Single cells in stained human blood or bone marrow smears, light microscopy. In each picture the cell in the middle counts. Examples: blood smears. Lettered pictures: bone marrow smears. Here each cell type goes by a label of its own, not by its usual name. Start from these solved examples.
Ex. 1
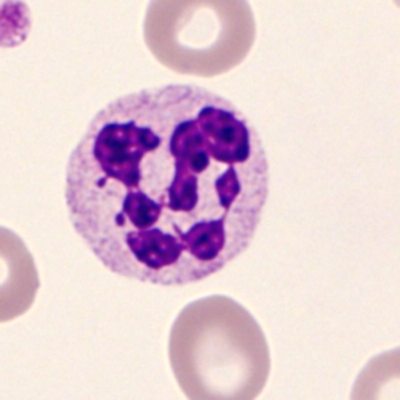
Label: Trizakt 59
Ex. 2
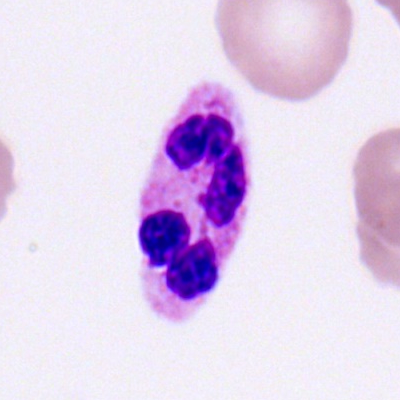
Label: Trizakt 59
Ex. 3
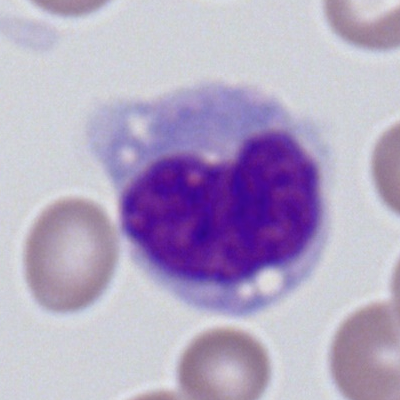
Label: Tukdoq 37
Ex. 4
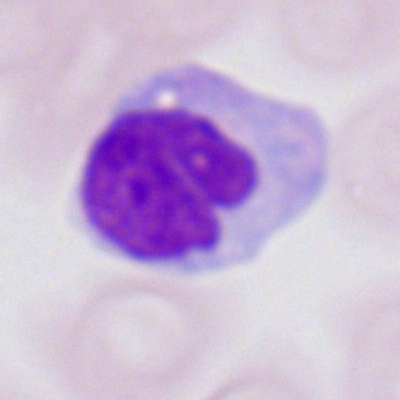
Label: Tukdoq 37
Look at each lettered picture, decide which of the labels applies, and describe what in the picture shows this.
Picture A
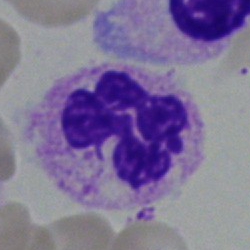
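Label: Trizakt 59. The cytoplasm is plentiful and pale pinkish-lilac.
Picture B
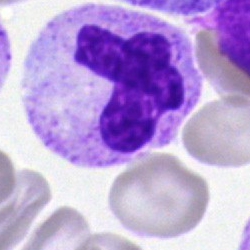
Label: Trizakt 59. The cytoplasm is abundant and pale lilac-grey.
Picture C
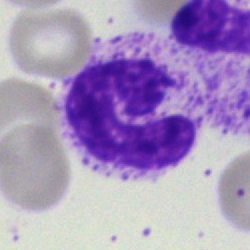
Label: Trizakt 59. The cytoplasm is scattered with many small purple granules.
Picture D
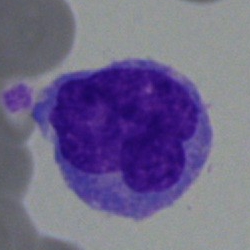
Label: Tukdoq 37. The nucleus fills most of the cell, leaving the widest rim of cytoplasm along the bottom.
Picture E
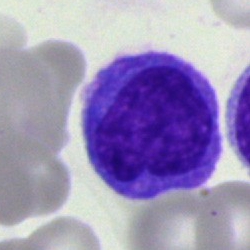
Label: Tukdoq 37. The nucleus fills most of the cell.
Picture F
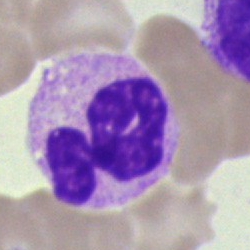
Label: Trizakt 59. The cytoplasm is abundant and pale lilac-pink.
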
